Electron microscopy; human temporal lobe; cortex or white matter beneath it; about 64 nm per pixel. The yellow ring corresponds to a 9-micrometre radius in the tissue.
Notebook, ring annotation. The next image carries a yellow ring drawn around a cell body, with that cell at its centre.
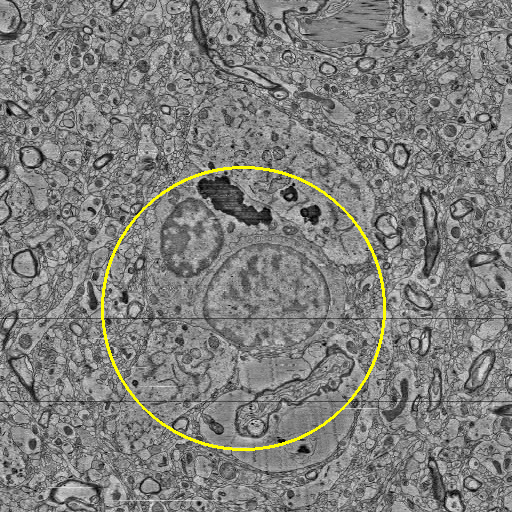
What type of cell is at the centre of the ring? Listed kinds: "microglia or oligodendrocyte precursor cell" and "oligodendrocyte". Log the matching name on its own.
oligodendrocyte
